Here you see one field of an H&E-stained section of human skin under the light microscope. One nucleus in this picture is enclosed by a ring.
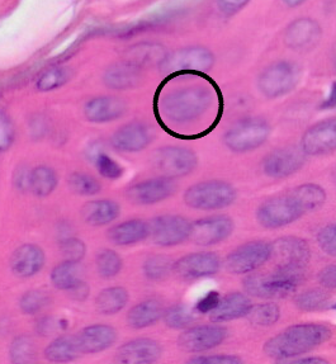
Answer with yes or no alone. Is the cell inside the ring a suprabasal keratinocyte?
yes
